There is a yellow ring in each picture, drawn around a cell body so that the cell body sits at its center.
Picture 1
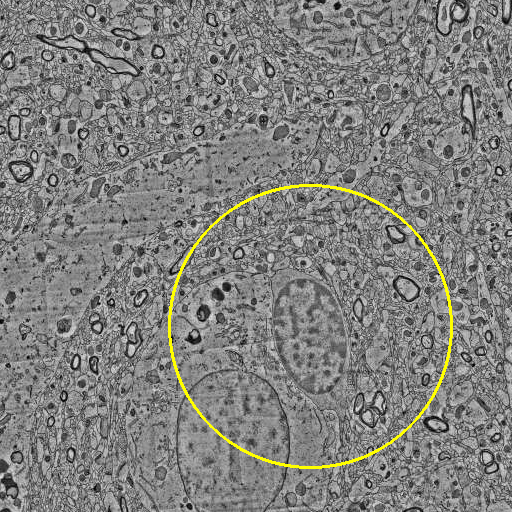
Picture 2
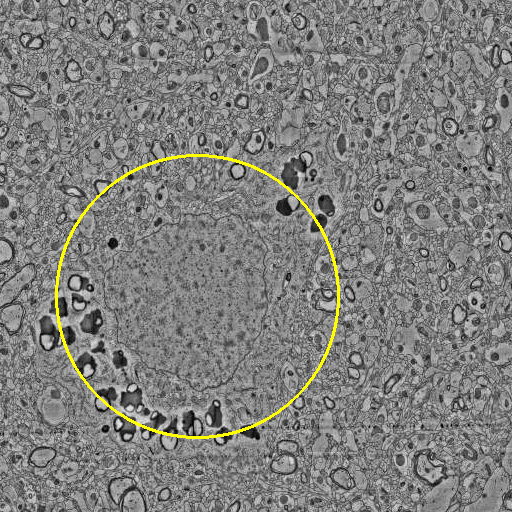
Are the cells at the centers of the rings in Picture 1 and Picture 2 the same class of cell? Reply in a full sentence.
No, the two cells are two classes of cell.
